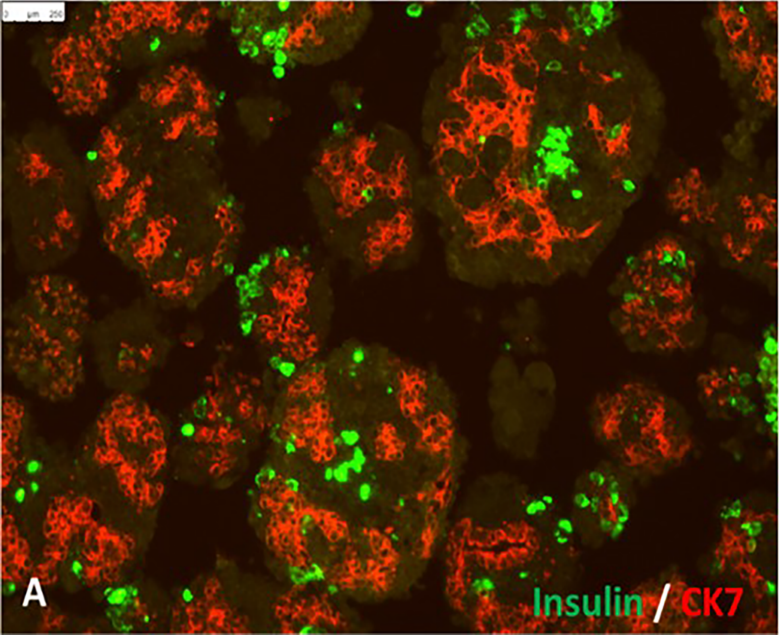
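Rounded cell clusters of varying size are seen, made largely of tightly packed cells whose borders are outlined in red, giving a net-like pattern. Single rounded cells and small groups filled with bright green fluorescence are scattered among the clusters and, in some, gathered in small patches near the centre. The green cells are far fewer than the red-outlined cells. A dim, faintly coloured rim without red outlines surrounds parts of several clusters. The spaces between clusters are dark.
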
